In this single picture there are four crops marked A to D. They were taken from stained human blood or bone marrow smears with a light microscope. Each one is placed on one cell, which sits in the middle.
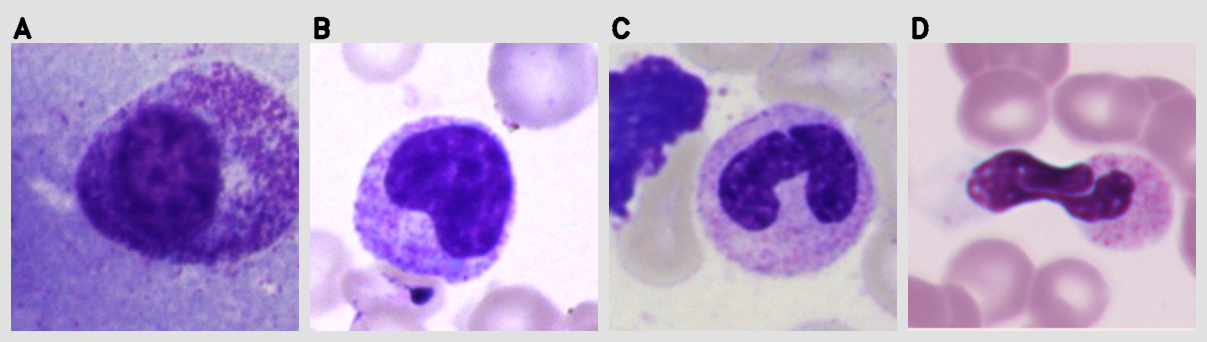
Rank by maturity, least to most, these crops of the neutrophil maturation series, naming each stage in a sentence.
Ranking by maturity from lowest to highest gives crop A (a myelocyte), crop B (a metamyelocyte), crop C (a band neutrophil) and crop D (a segmented neutrophil).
